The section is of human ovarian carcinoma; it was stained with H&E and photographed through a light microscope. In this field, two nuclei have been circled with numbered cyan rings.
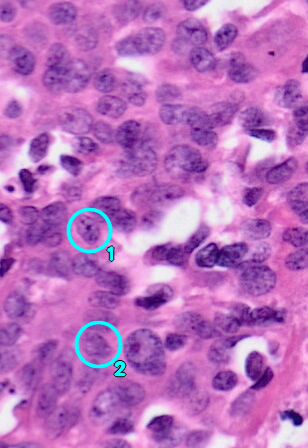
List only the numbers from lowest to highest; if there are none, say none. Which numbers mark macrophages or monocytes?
1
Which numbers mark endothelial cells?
none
